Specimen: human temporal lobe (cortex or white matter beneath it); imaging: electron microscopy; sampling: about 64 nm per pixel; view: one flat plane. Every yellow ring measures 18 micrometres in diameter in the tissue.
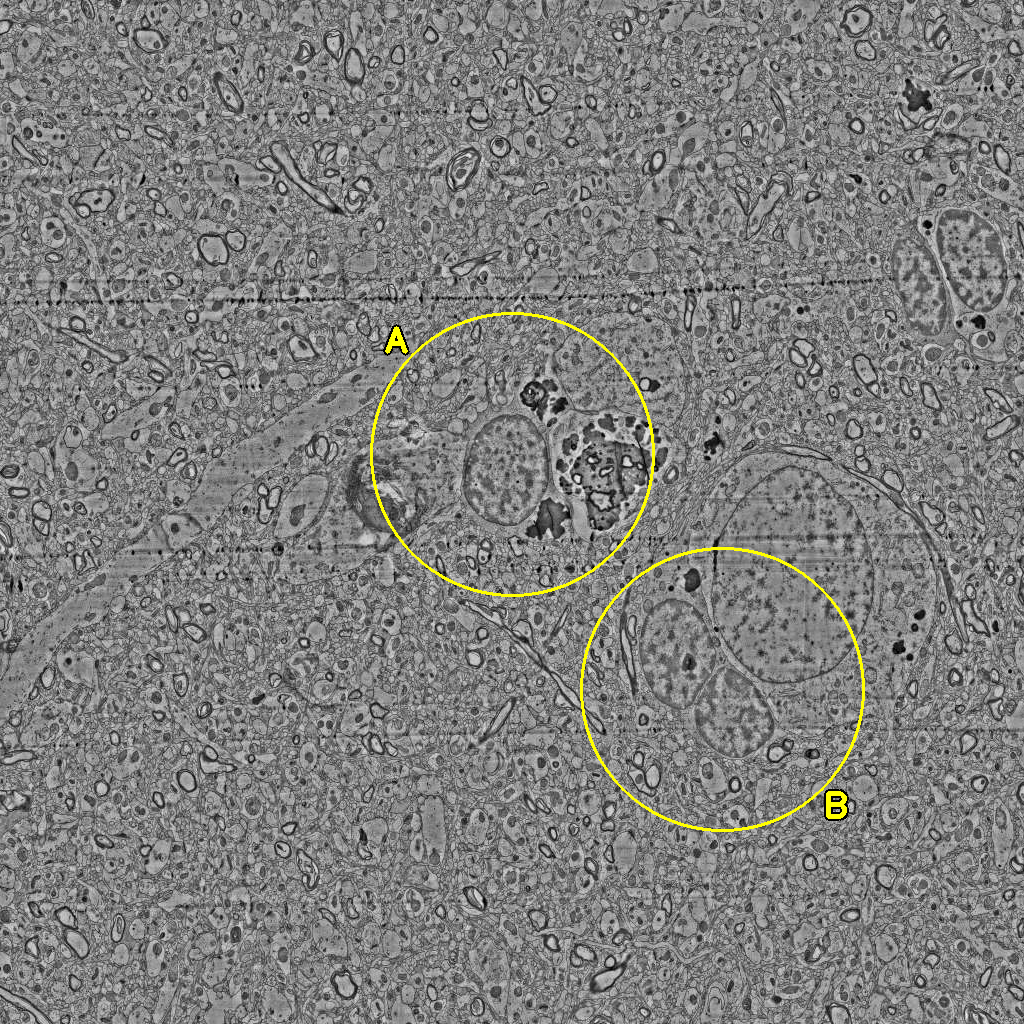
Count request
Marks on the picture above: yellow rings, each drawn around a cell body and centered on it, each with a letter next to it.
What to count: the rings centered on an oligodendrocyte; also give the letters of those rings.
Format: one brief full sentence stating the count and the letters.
The micrograph contains two rings each centred on an oligodendrocyte, lettered A and B.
